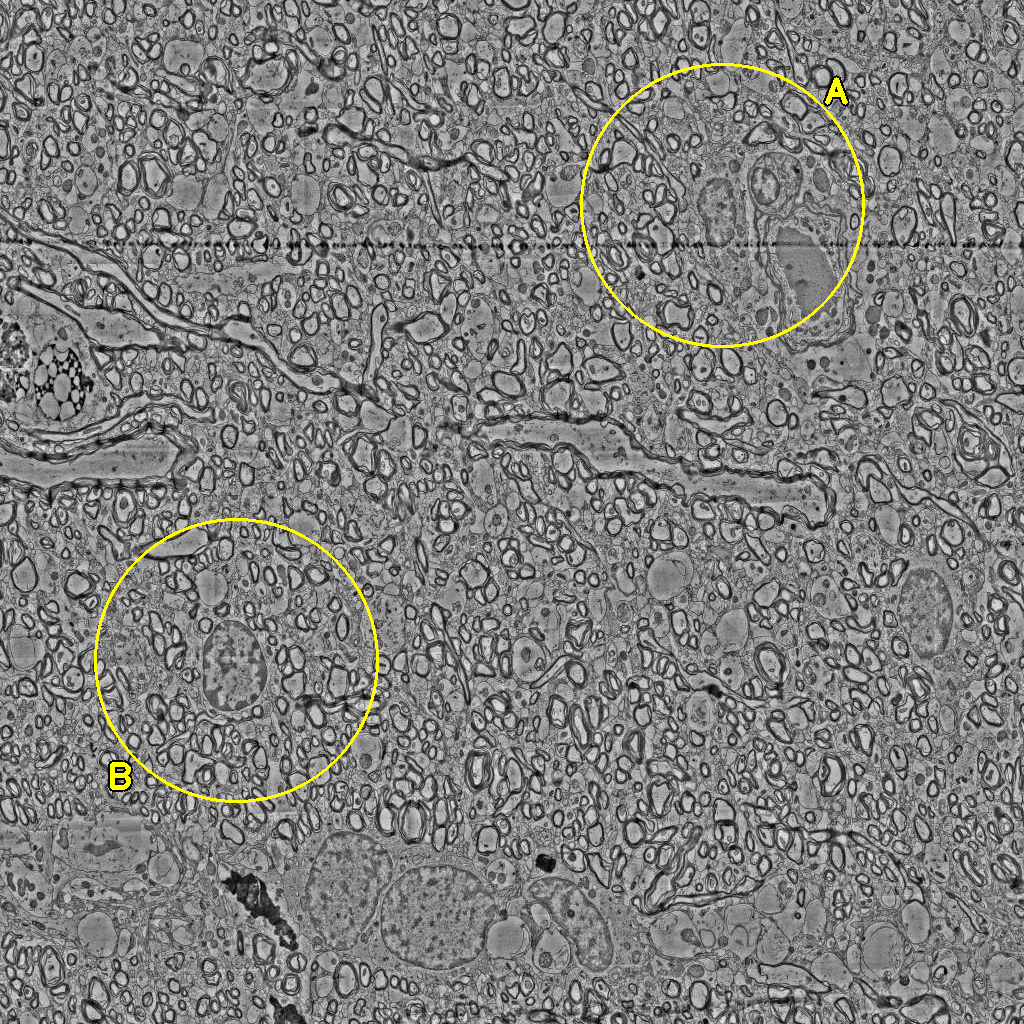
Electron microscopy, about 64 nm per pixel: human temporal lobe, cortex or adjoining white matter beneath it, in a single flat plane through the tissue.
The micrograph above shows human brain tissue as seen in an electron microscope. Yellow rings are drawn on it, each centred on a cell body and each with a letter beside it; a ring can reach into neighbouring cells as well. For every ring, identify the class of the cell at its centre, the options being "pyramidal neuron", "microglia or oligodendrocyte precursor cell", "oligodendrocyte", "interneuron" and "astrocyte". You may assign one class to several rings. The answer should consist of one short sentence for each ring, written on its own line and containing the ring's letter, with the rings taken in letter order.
The ring lettered A is centred on an oligodendrocyte.
The ring lettered B is centred on a microglial cell or oligodendrocyte precursor cell.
